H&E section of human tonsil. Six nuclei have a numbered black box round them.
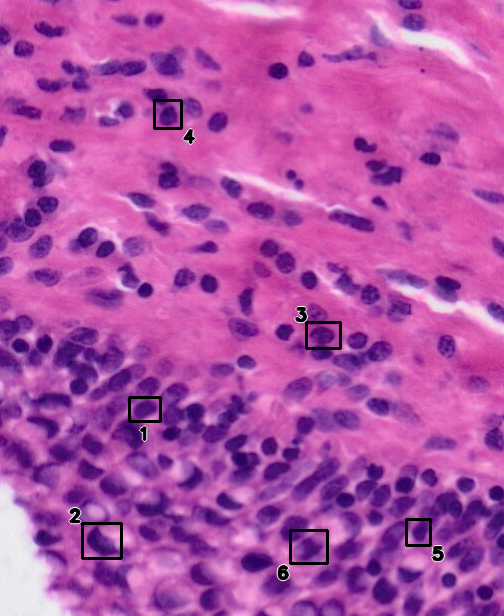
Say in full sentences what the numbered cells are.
Cells 1, 2, 5 and 6 are squamous epithelial cells. Cells 3 and 4 are plasma cells.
